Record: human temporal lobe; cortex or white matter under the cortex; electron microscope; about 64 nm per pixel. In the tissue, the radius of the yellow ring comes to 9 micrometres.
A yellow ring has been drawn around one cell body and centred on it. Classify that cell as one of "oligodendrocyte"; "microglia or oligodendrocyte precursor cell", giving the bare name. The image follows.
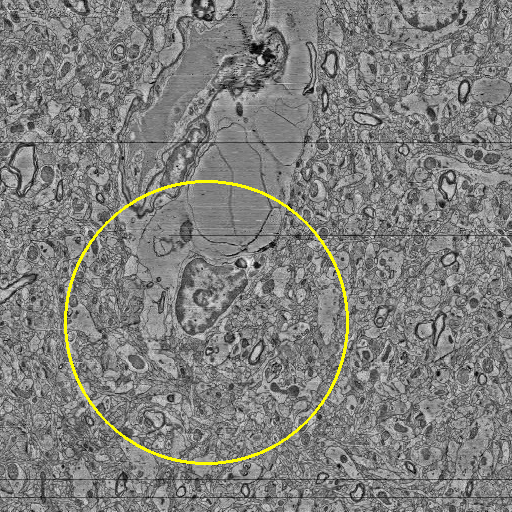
microglia or oligodendrocyte precursor cell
